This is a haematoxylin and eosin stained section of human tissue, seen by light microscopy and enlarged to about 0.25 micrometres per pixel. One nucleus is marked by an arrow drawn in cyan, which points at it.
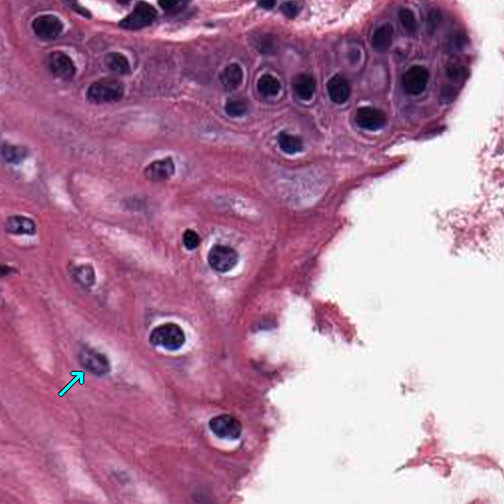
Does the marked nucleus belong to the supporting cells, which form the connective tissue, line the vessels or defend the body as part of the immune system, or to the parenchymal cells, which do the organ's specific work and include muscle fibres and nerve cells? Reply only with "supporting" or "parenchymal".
parenchymal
